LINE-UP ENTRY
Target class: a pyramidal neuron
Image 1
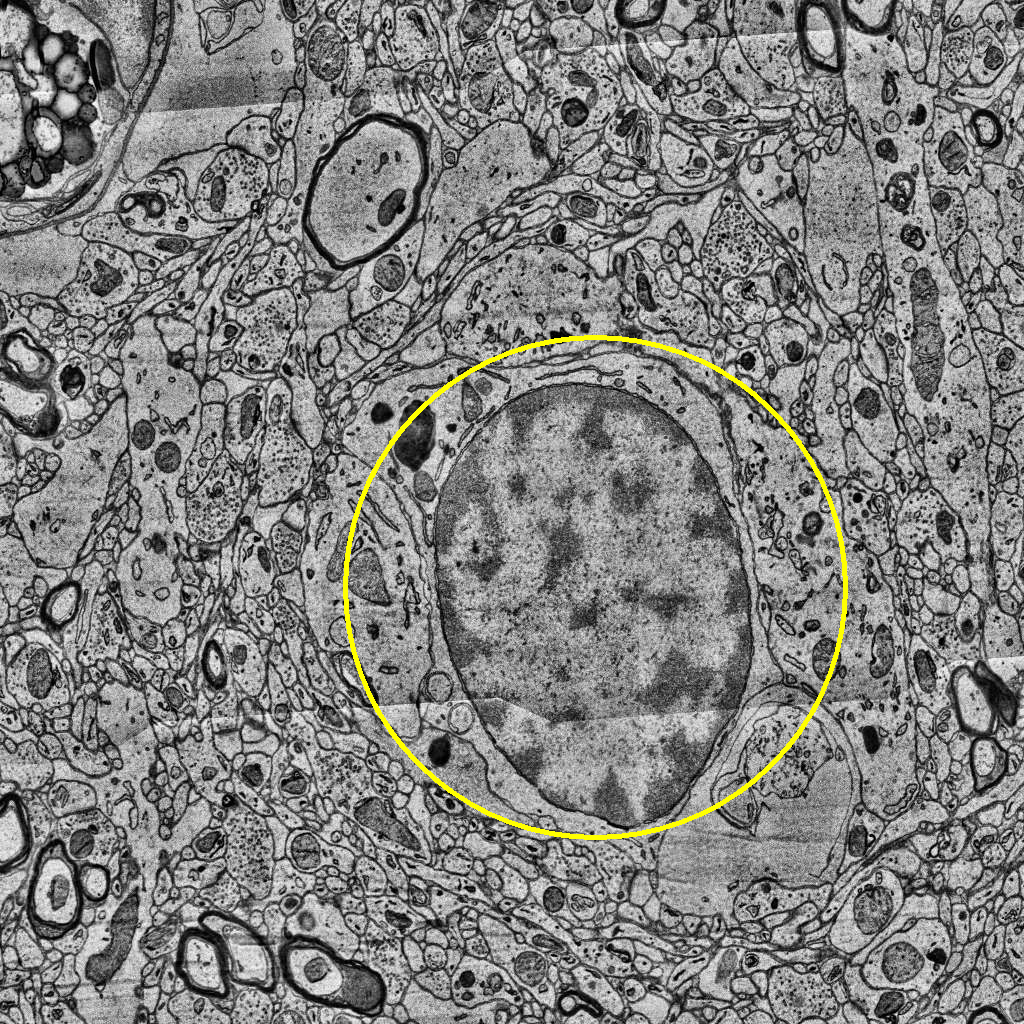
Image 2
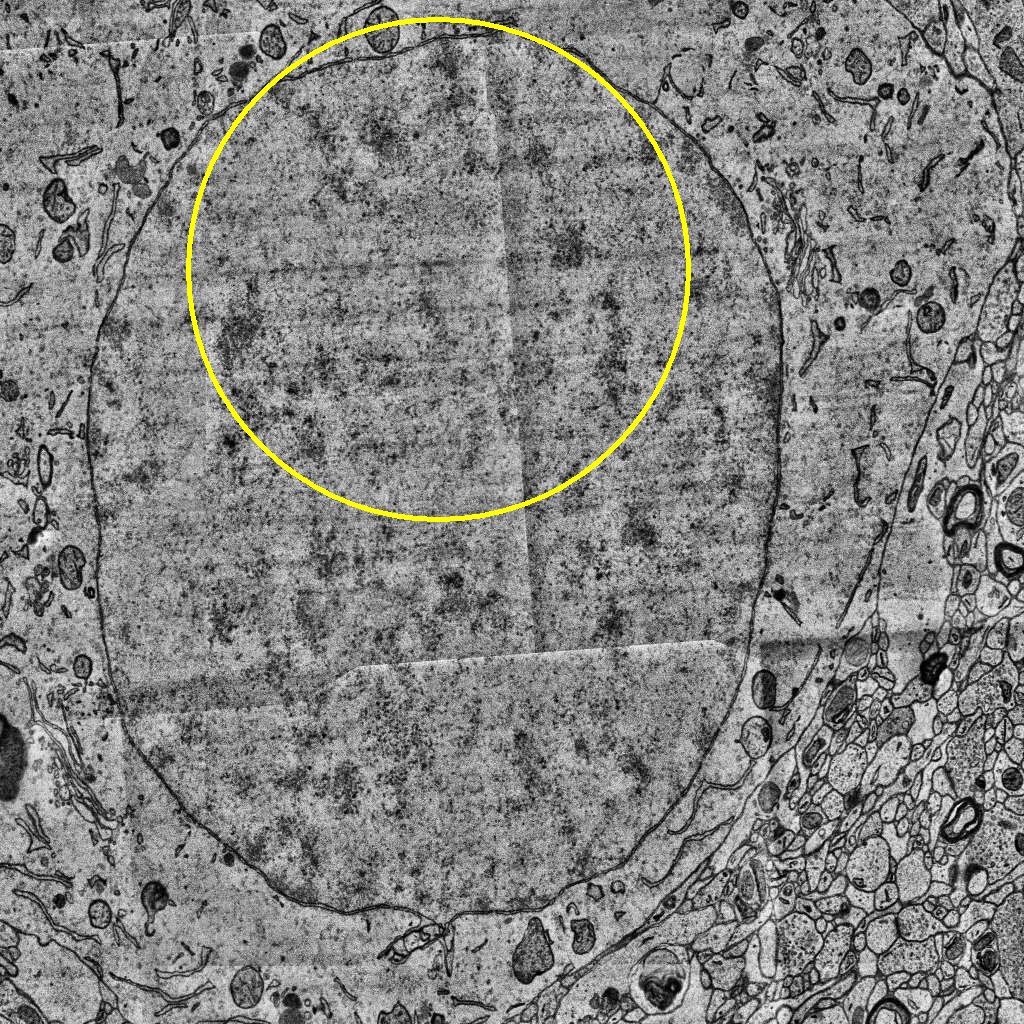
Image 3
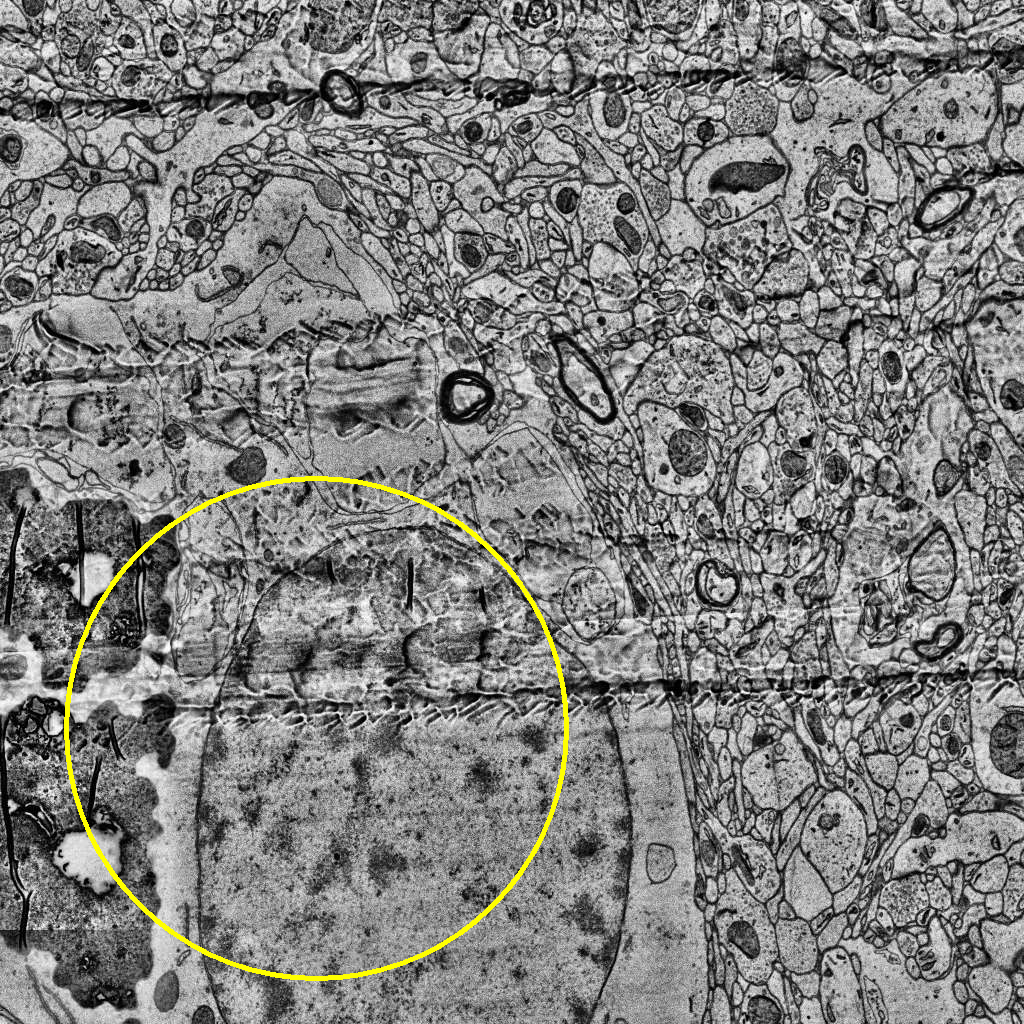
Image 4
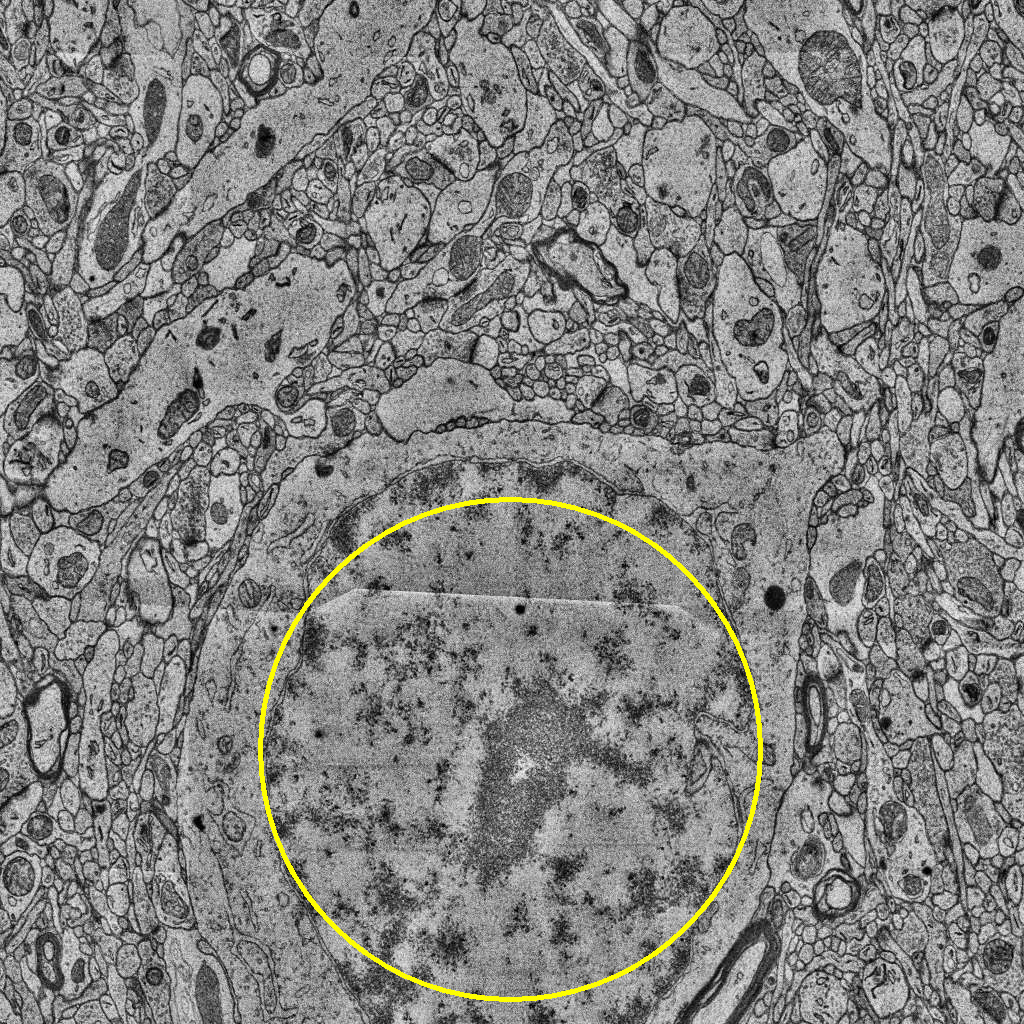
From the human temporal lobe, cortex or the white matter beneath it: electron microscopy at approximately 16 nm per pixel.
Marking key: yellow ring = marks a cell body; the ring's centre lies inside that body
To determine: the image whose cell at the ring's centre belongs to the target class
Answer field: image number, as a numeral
2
